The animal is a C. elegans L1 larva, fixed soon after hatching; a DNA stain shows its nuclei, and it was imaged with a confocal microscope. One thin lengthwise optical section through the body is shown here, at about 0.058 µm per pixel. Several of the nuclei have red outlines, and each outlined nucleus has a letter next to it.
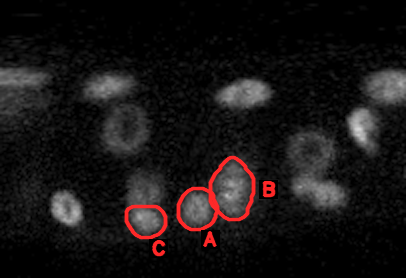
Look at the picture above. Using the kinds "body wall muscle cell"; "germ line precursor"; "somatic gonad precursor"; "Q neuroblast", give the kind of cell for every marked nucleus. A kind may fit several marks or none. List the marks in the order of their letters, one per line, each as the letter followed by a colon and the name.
A: somatic gonad precursor
B: germ line precursor
C: body wall muscle cell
